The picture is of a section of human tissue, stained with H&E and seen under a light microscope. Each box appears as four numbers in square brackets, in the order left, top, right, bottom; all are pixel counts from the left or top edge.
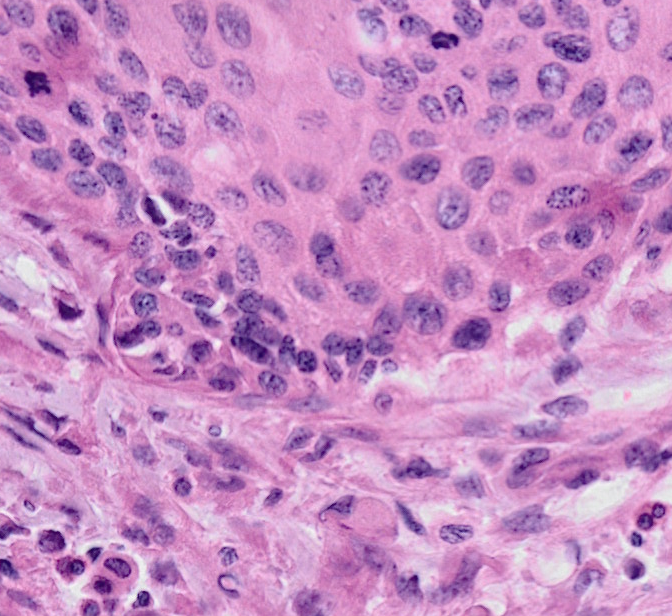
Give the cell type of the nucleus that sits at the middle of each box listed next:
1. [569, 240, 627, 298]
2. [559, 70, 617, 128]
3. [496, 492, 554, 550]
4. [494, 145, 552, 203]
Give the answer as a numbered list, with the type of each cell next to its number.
1. squamous carcinoma cell
2. squamous carcinoma cell
3. fibroblast
4. squamous carcinoma cell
